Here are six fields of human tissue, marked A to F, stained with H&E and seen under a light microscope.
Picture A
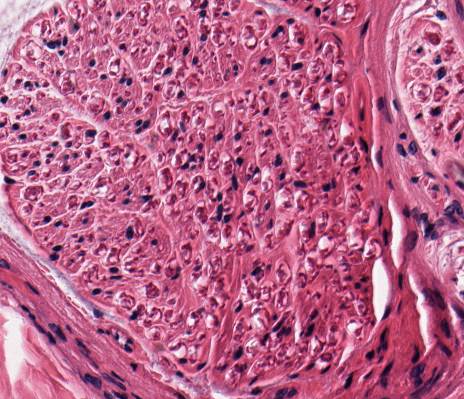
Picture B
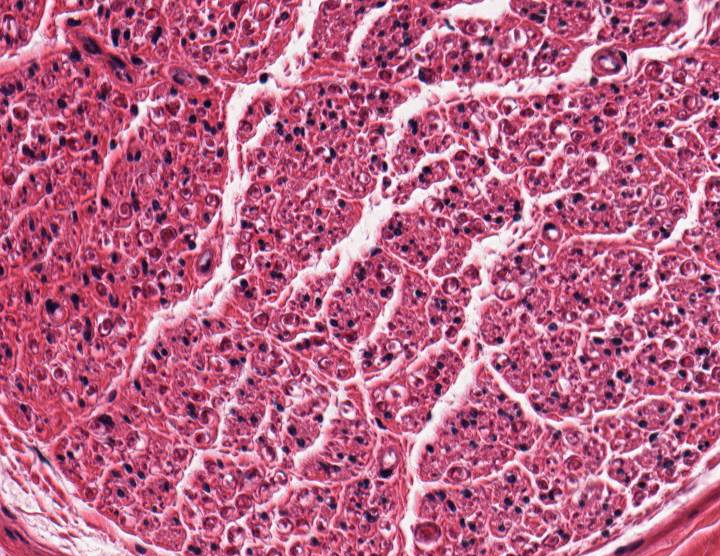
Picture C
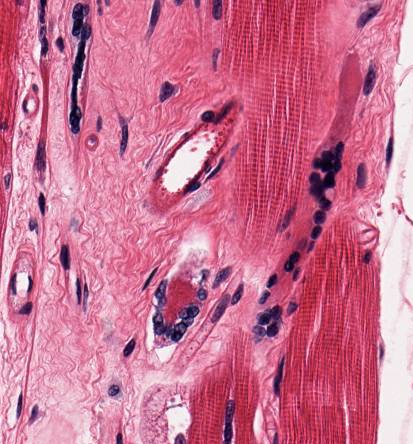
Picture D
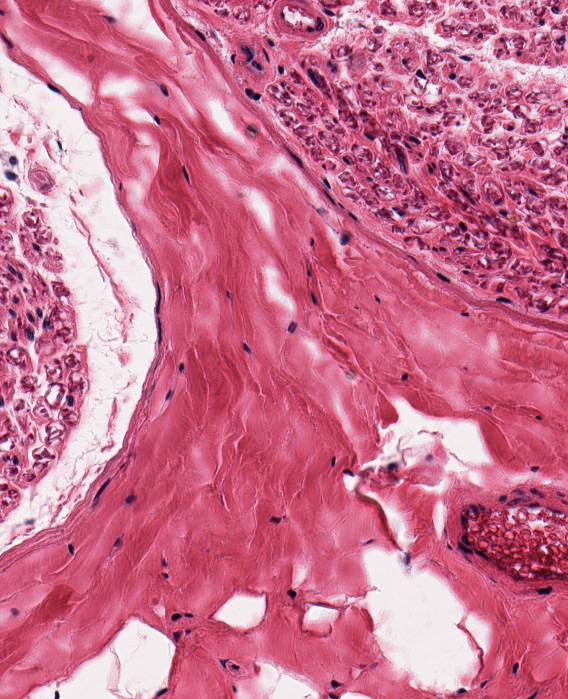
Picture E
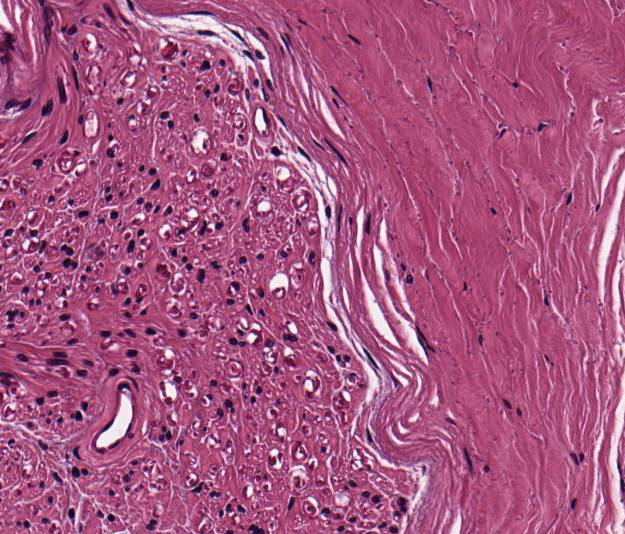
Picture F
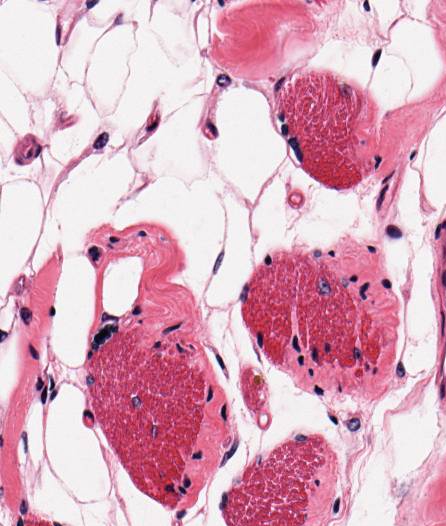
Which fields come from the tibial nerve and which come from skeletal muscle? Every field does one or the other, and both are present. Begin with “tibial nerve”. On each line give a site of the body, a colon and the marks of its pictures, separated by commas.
tibial nerve: A, B, D, E
skeletal muscle: C, F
